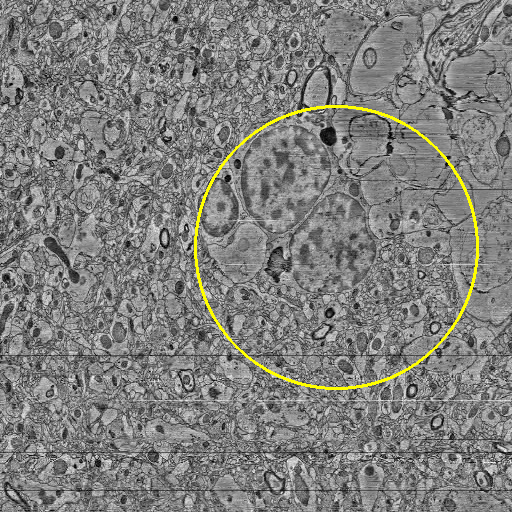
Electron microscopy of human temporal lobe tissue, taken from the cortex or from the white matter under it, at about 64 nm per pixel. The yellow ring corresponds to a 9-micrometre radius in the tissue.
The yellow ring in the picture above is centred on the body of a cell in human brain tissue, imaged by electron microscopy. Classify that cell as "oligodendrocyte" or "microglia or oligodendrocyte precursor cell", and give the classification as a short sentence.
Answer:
The cell in the middle of the ring is an oligodendrocyte.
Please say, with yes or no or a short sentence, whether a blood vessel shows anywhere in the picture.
Yes, one shows.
